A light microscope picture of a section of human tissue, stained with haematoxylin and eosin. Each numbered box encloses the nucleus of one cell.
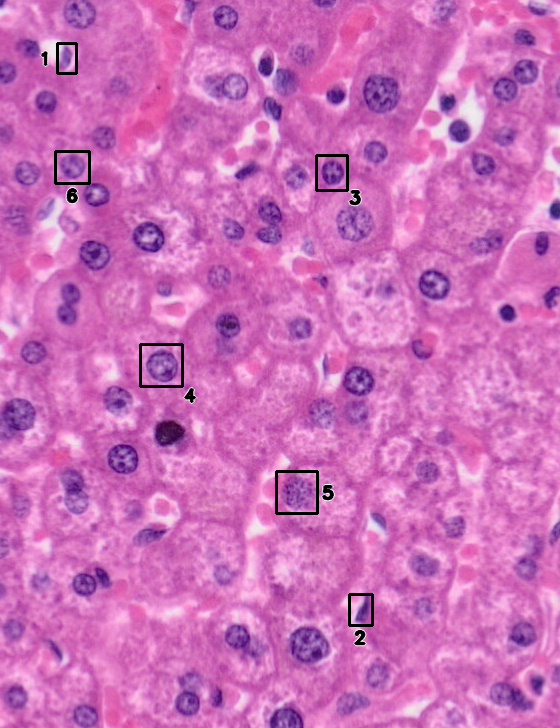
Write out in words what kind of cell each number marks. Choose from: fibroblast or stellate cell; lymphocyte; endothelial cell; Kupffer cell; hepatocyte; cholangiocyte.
Cell 1 is an endothelial cell, cell 2 is an endothelial cell, cell 3 is a hepatocyte, cell 4 is a hepatocyte, cell 5 is a hepatocyte and cell 6 is a hepatocyte.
